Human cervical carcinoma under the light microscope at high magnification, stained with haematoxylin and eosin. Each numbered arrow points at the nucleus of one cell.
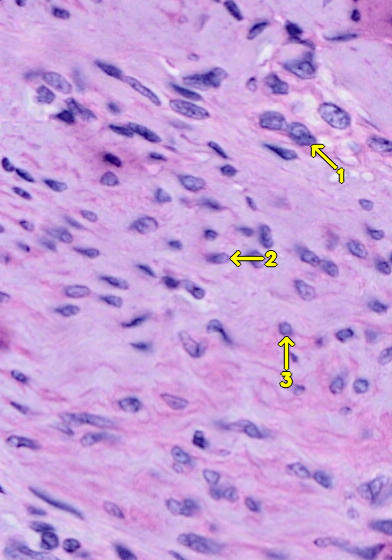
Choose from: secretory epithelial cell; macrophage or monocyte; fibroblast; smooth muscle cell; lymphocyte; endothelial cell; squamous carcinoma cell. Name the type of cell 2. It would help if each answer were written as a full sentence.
That cell with number 2 is a smooth muscle cell.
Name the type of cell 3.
To a smooth muscle cell belongs the nucleus marked 3.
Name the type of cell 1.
In the marked set, the cell given number 1 is an endothelial cell.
